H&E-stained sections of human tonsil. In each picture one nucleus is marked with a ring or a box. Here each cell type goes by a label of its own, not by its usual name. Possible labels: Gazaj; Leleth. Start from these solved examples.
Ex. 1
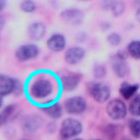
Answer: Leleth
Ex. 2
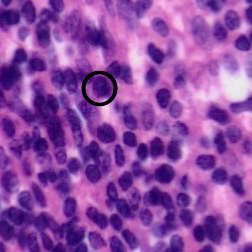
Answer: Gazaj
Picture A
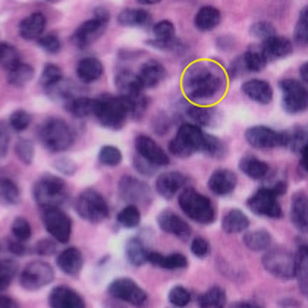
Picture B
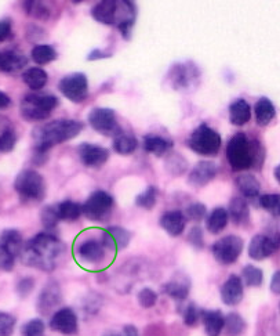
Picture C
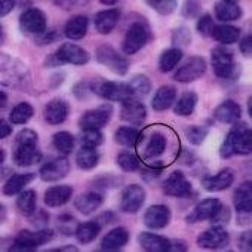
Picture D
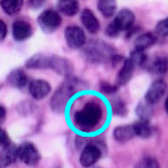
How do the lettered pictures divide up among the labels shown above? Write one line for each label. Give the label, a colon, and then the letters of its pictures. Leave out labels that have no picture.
Gazaj: A, B, D
Leleth: C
